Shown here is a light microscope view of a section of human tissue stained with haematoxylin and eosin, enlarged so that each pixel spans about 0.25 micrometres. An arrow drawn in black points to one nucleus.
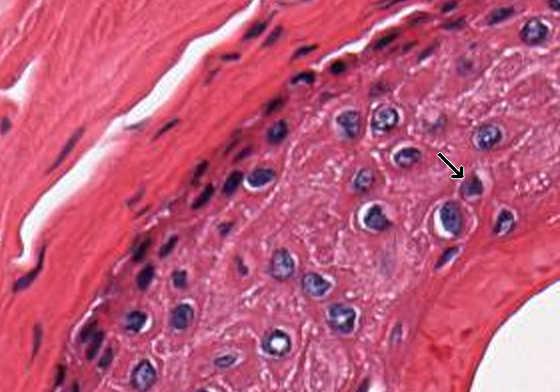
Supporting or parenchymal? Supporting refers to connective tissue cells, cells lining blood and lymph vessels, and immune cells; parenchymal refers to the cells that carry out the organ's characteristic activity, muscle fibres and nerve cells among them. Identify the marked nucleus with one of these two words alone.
parenchymal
